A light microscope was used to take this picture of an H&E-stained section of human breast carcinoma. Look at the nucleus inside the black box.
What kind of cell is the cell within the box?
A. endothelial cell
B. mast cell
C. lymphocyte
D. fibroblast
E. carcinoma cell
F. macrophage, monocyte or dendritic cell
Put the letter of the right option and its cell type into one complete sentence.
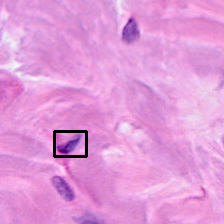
On this slide, the cell within the box is a fibroblast, so option D is right.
